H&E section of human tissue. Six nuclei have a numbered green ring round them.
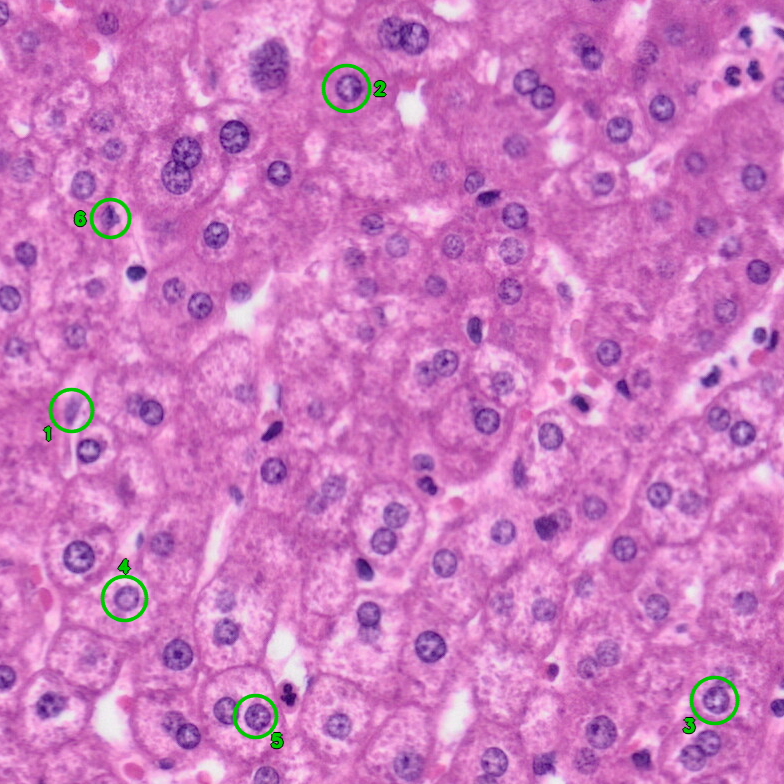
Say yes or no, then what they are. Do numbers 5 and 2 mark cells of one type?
Yes, in this tissue section, cells 5 and 2 are both hepatocytes.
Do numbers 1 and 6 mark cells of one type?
No, the identities are a Kupffer cell for cell 1 and an endothelial cell for cell 6.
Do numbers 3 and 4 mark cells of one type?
Yes, cells 3 and 4 are of one type, both being hepatocytes.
